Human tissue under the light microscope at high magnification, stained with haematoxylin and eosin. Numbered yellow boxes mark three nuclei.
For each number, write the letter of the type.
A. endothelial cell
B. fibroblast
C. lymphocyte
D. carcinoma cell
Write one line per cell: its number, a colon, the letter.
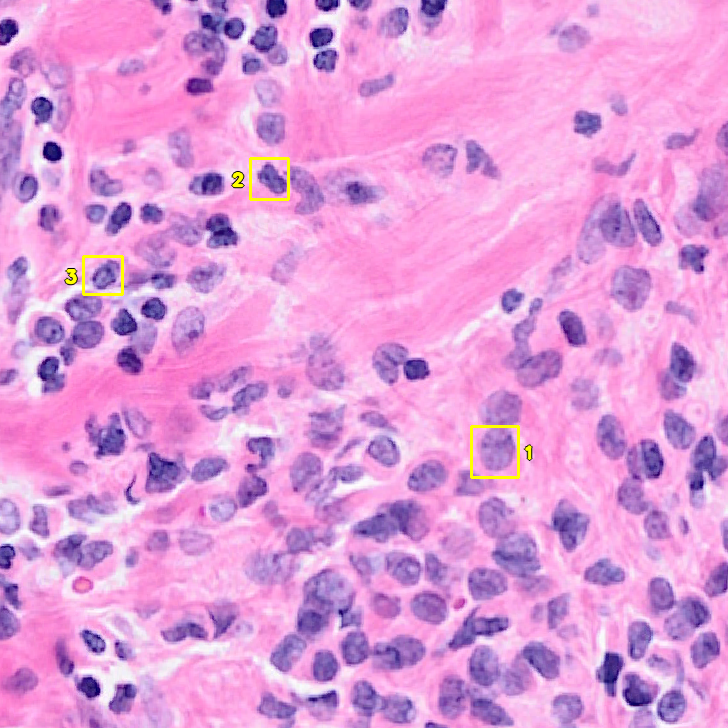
1: D
2: C
3: C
